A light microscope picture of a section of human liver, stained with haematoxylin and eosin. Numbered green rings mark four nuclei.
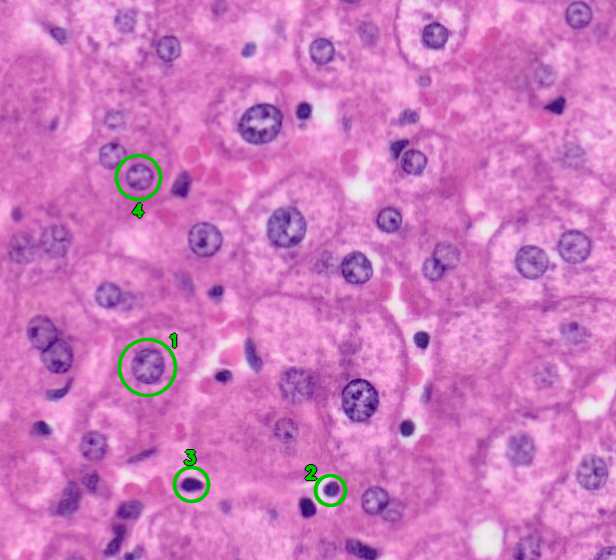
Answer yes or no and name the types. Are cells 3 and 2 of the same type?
Yes, going by number, cells 3 and 2 are both lymphocytes.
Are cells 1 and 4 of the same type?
Yes, cell 1 is counted among the hepatocytes, as is cell 4.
